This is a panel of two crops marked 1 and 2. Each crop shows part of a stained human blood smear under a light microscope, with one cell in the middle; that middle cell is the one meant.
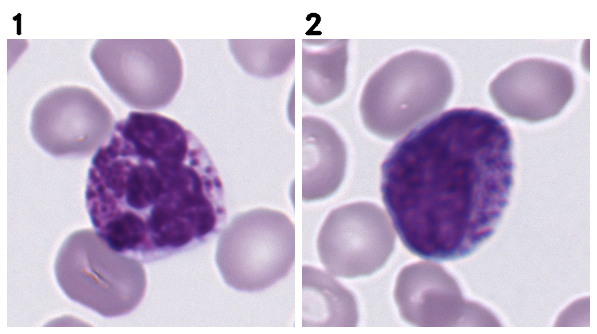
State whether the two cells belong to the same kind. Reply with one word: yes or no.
yes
